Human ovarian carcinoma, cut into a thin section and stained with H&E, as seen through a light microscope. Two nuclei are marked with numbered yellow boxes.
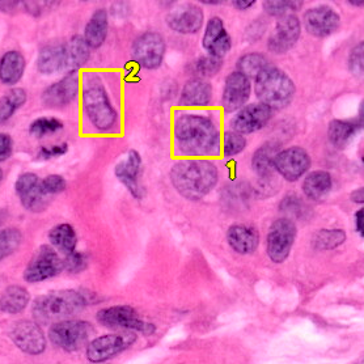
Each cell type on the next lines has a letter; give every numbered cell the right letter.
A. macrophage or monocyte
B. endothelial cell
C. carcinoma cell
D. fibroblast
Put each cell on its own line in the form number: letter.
1: C
2: B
